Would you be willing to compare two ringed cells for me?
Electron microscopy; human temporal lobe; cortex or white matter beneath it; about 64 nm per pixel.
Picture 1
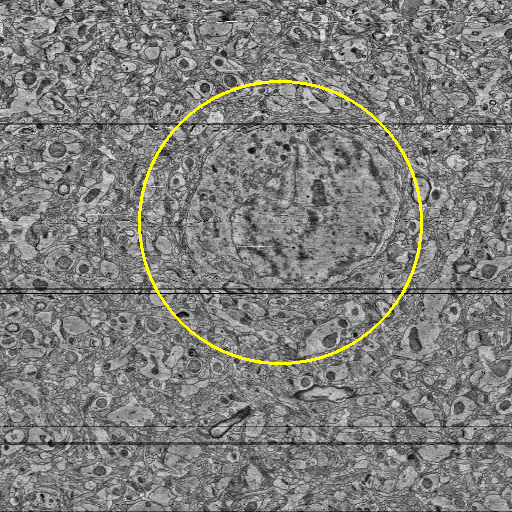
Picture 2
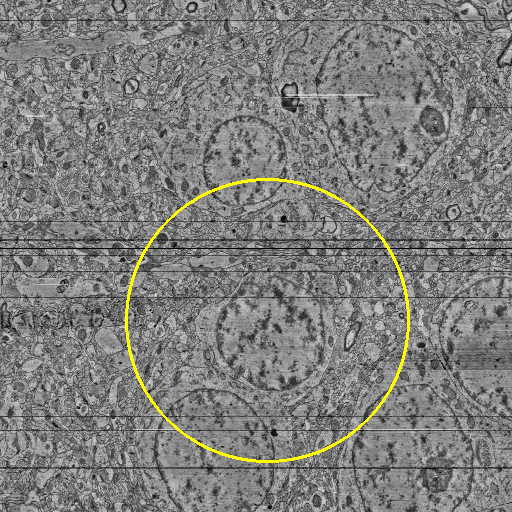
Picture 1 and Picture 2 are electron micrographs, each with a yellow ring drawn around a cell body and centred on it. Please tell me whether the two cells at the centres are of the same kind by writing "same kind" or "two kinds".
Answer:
same kind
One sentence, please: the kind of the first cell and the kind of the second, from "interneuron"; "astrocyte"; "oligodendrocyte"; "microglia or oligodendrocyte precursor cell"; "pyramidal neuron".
The first and the second cell are each an interneuron.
